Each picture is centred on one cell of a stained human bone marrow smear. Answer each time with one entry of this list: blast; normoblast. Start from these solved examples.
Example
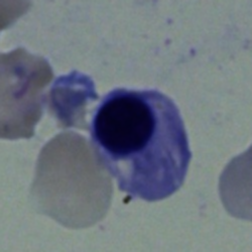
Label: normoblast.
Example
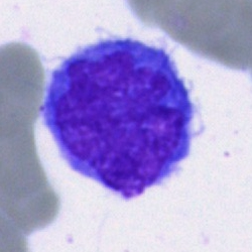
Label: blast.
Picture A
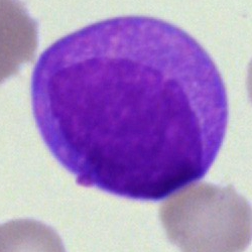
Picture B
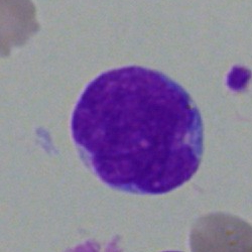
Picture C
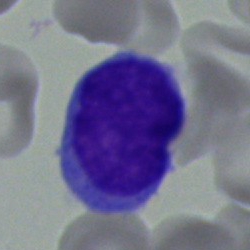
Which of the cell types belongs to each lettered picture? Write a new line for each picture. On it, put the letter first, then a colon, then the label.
A: blast.
B: blast.
C: blast.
